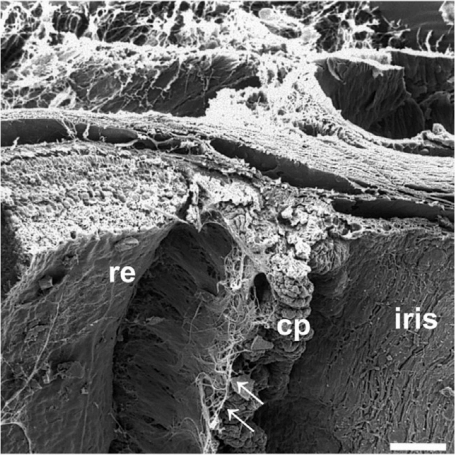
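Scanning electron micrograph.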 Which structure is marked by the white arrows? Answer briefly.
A: Zonular fibers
